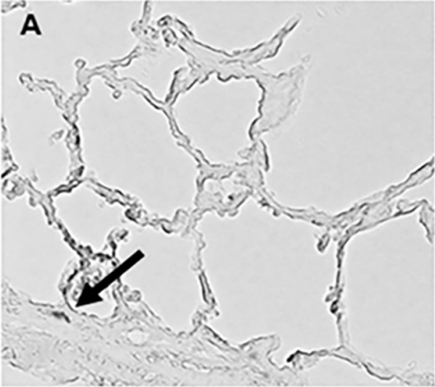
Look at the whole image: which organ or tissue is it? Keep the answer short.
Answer: Lung parenchyma.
